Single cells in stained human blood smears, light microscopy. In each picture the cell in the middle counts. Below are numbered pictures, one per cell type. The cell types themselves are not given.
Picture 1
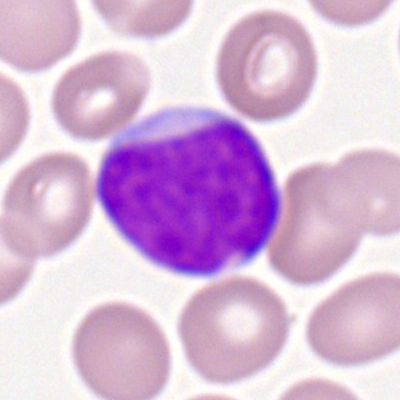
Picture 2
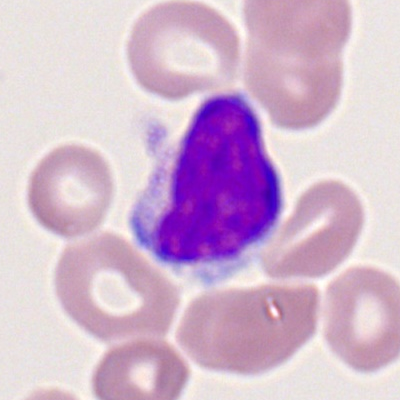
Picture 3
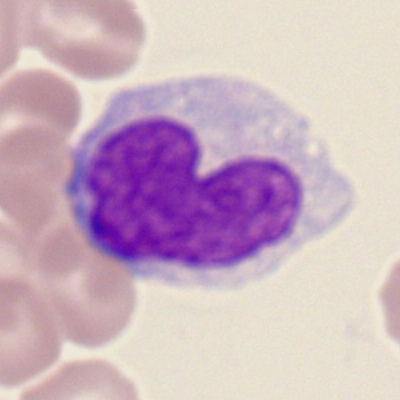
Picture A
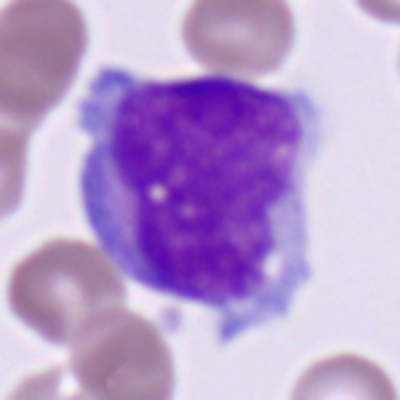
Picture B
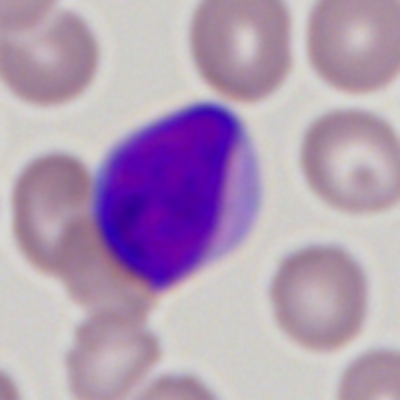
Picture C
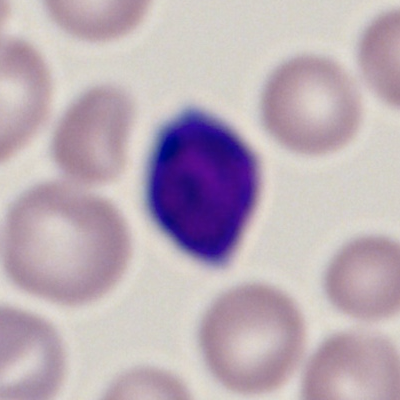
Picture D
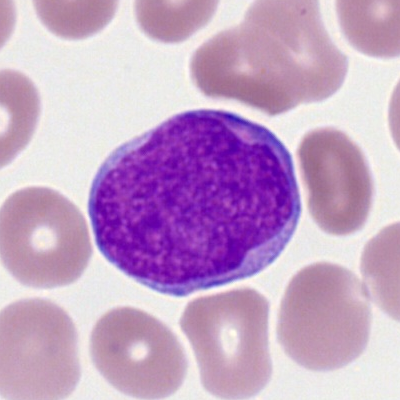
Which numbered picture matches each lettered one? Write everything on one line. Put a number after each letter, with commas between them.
A 3, B 1, C 2, D 1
